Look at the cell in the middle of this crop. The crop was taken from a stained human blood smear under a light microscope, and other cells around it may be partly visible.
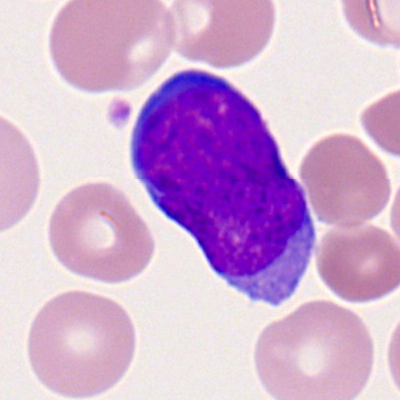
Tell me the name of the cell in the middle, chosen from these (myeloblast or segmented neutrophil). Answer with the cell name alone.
myeloblast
